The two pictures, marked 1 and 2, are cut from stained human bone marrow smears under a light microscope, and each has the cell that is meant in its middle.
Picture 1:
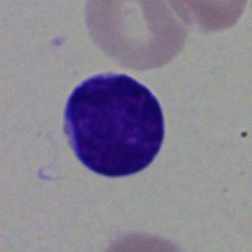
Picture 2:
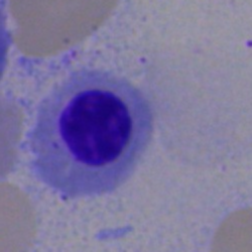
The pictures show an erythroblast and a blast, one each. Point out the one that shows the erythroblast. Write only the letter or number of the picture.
2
